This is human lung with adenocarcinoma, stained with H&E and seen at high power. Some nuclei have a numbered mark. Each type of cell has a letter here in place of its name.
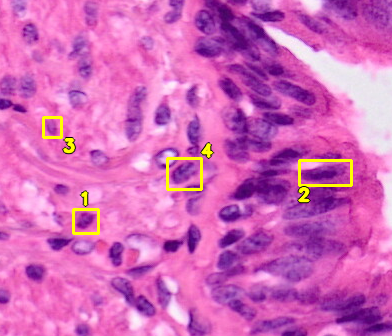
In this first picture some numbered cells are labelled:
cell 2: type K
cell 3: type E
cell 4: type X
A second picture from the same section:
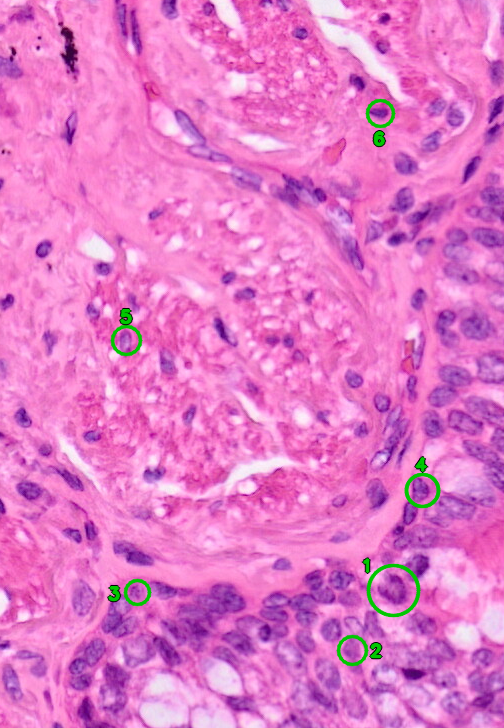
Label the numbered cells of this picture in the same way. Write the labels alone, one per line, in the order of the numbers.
type K
type K
type K
type K
type E
type E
